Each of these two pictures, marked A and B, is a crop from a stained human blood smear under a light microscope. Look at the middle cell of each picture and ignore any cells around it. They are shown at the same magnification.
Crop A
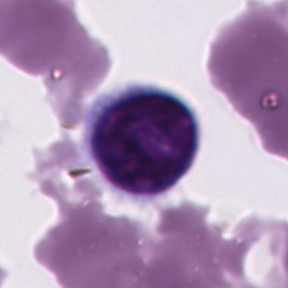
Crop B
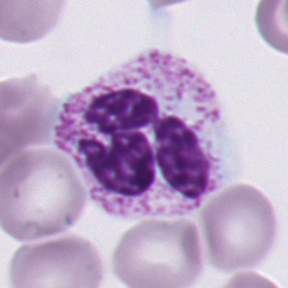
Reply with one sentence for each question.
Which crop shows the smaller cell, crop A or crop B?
It is the cell in crop A; the cell in crop B has about 2 times its area.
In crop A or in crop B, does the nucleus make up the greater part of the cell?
Of the two, the nucleus in crop A makes up the greater part of its cell.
